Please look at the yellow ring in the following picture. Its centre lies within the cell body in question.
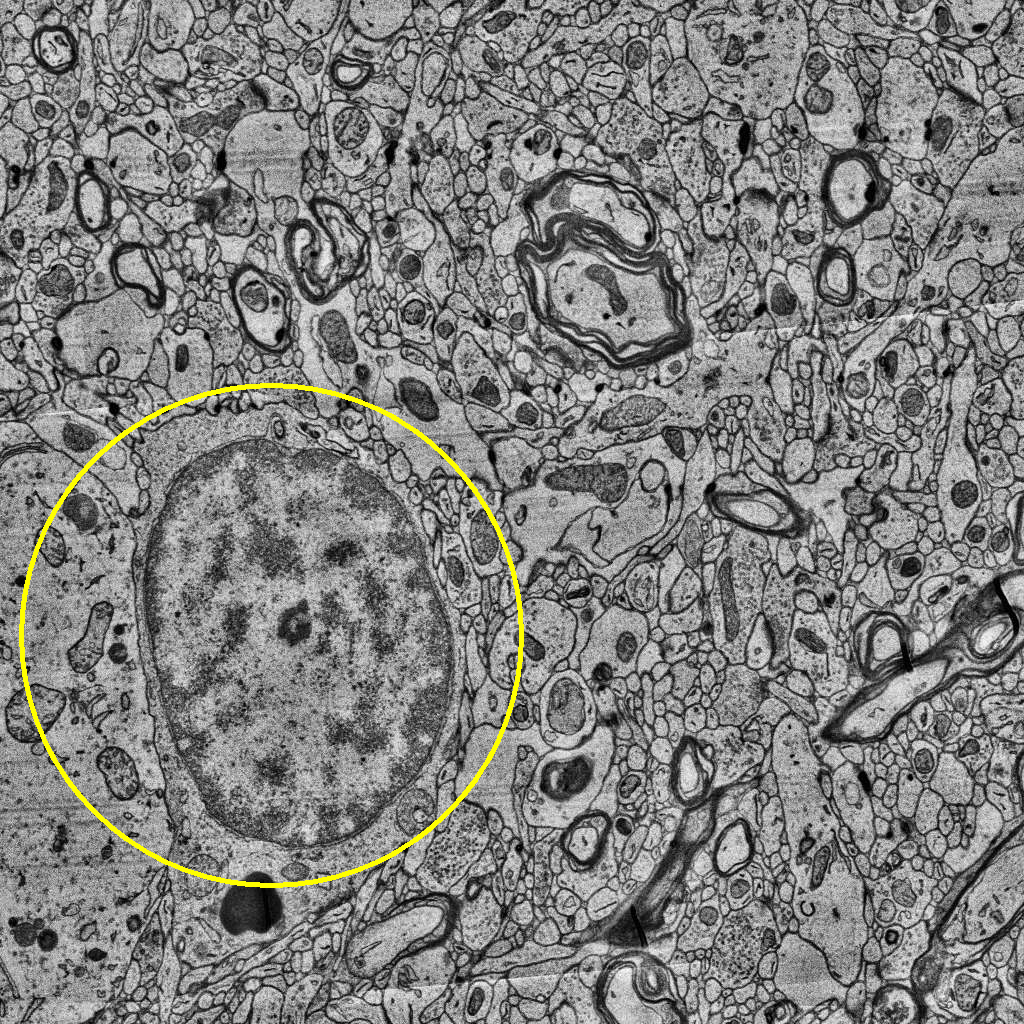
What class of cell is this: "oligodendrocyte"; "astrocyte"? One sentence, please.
The centre of the ring lies in the cell body of an oligodendrocyte.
